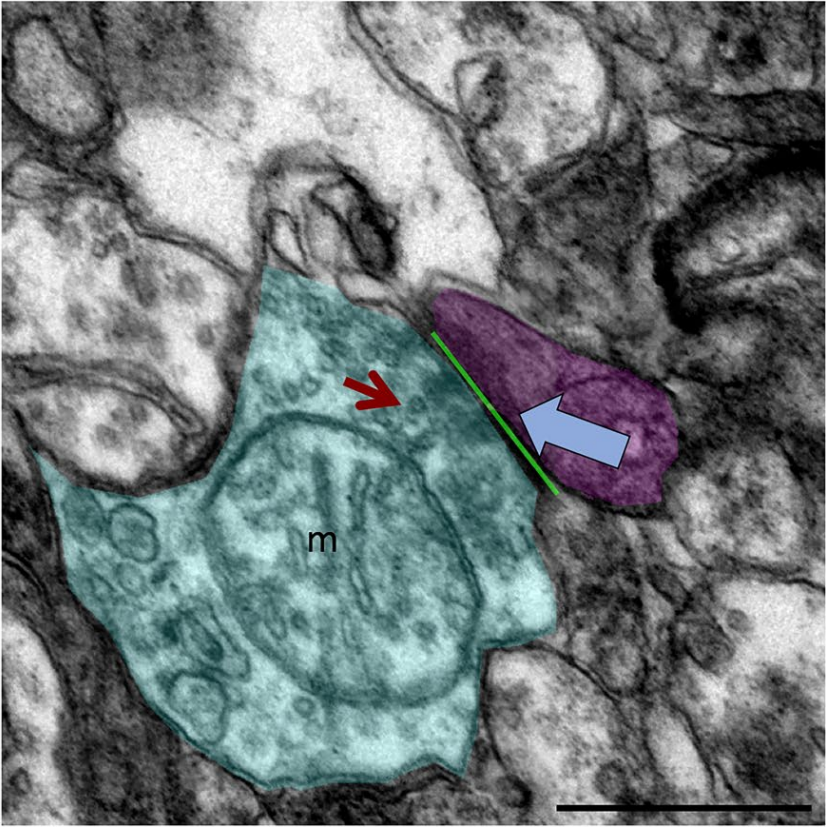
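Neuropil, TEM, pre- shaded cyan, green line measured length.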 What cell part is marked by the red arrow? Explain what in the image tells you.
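The arrow points into the cyan-shaded profile, which holds many small round membrane-bound vesicles. The vesicles lie close to the membrane facing the magenta profile.
Hence: presynaptic vesicles.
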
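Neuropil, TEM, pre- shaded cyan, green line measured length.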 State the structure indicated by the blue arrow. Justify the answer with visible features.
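The arrow lies in the magenta-shaded profile and points at the membrane facing the cyan profile. A dark, thickened band runs along that membrane on the magenta side.
Post-synaptic density.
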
